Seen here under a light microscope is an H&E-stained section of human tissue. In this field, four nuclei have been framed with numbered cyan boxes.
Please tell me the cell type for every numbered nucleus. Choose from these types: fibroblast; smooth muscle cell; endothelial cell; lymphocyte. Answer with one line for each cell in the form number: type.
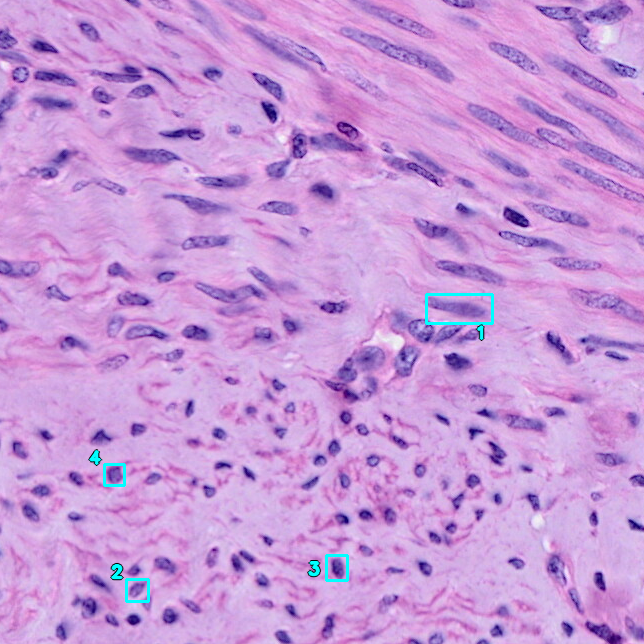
1: fibroblast
2: smooth muscle cell
3: smooth muscle cell
4: smooth muscle cell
